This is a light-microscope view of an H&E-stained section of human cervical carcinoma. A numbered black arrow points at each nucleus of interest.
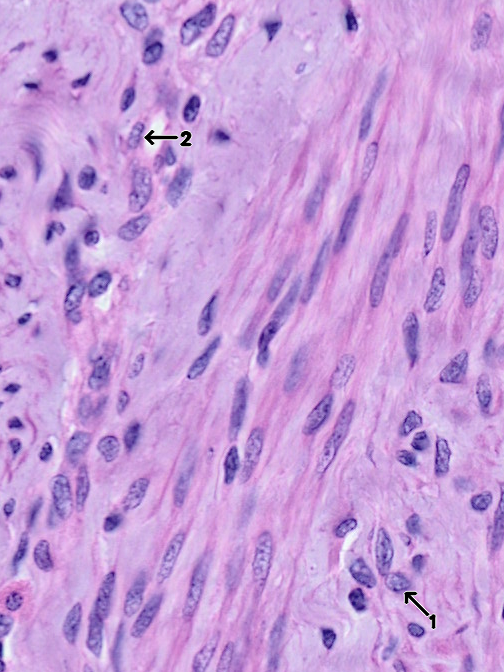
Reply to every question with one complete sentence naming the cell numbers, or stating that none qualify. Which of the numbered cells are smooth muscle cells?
Among the cells marked with numbers, the only one that is a smooth muscle cell is number 1.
